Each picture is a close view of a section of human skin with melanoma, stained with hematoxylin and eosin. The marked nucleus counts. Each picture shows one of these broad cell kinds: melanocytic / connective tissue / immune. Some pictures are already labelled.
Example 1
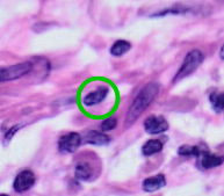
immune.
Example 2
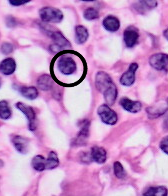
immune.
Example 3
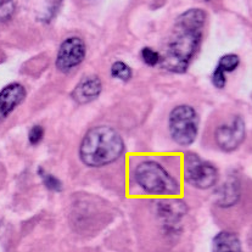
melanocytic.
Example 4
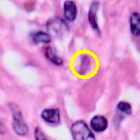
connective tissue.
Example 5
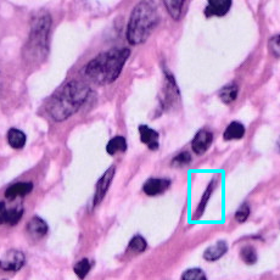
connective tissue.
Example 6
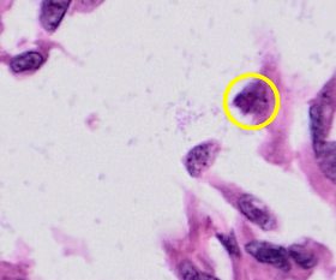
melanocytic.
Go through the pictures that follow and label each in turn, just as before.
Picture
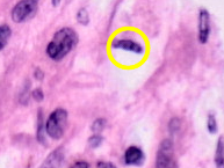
connective tissue.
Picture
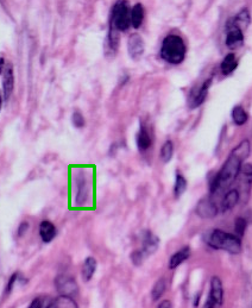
connective tissue.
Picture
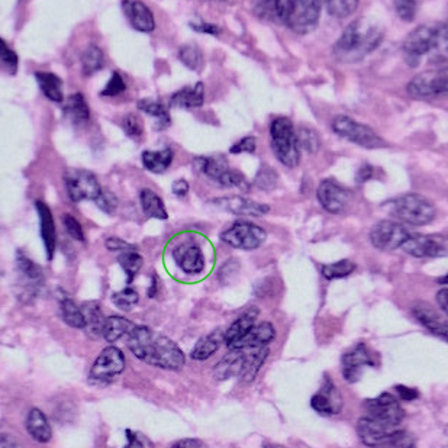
melanocytic.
